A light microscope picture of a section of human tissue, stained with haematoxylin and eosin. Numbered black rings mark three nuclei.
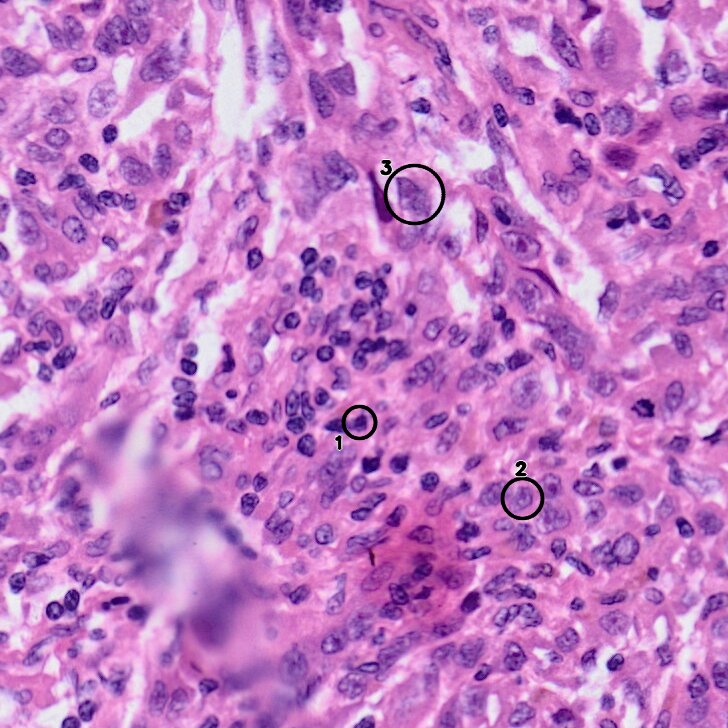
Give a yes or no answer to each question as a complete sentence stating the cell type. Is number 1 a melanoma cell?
No, for cell 1, the correct identification is a lymphocyte instead of a melanoma cell.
